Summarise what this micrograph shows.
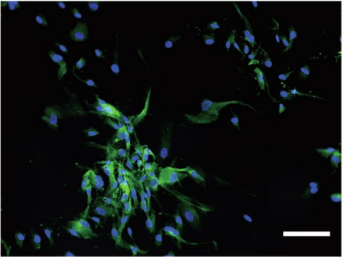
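Green staining fills the cytoplasm of many of the cells, showing their outlines and their thin, tapering processes. The cells lie crowded together in a dense cluster in the lower left of the field, where their green cytoplasm overlaps. Elsewhere the cells are sparser, and many of them show only faint green around the nucleus. The brightness of the green varies a good deal from cell to cell.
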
